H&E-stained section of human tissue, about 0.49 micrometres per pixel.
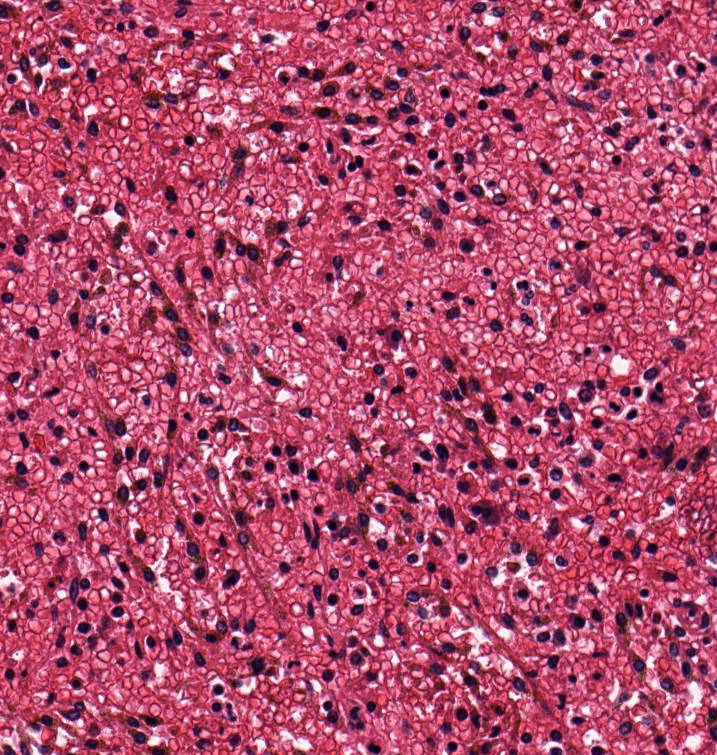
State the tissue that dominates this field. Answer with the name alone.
red pulp of the spleen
